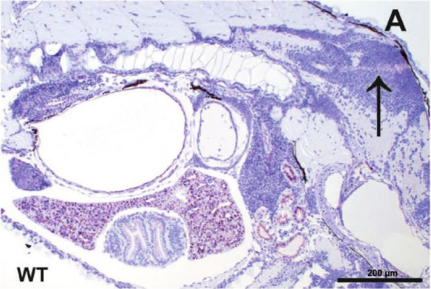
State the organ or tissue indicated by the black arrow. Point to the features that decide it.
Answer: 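The arrow points to a dorsal region at the head end of the larva. The answer: central nervous system.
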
